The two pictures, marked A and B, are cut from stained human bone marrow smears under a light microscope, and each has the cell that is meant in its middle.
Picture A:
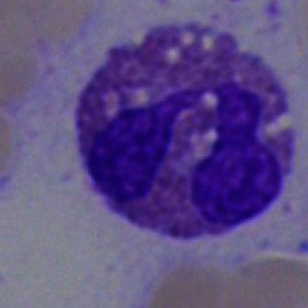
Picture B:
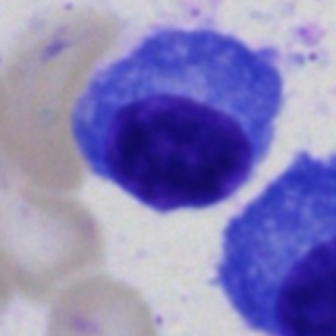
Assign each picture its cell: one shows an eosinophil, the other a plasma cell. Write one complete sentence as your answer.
The cell in picture A is an eosinophil, and the one in picture B is a plasma cell.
